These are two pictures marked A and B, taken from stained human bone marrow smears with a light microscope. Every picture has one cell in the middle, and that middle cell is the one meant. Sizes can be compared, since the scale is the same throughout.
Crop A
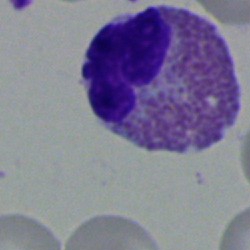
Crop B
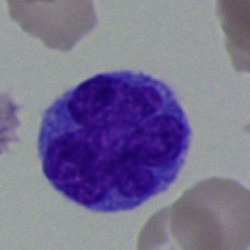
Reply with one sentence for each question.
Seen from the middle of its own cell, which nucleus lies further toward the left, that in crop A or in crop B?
The nucleus in crop A lies further toward the left of its cell.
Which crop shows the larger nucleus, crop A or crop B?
Crop B shows the larger nucleus; it covers about 2 times the area of the nucleus in crop A.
